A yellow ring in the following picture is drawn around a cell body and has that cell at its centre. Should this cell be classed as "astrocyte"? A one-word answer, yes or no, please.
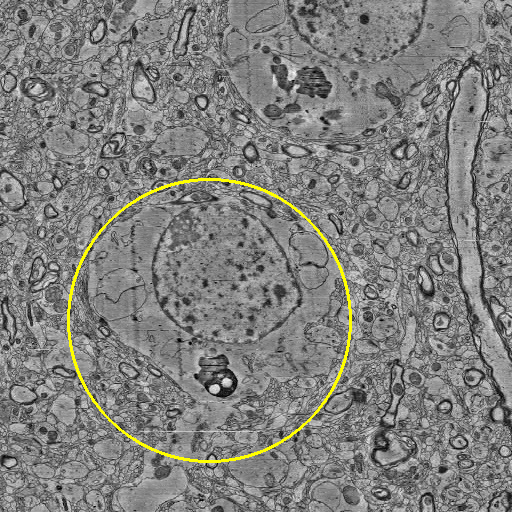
Yes, it is of that kind.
